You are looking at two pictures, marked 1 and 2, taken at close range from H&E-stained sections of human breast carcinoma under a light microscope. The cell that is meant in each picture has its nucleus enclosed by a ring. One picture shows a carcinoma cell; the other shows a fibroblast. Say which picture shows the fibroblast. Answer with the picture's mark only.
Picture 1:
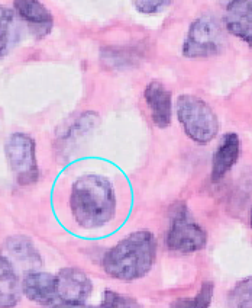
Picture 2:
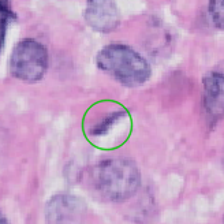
2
